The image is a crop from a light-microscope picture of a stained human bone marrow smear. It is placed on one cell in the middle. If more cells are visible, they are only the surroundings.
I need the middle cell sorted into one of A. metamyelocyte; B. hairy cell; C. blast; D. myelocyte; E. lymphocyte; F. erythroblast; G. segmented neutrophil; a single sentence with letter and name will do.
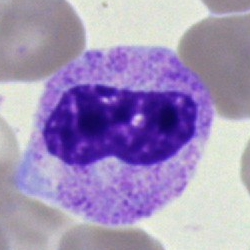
The cell centred in the crop is a metamyelocyte, and the correct option is thus A.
